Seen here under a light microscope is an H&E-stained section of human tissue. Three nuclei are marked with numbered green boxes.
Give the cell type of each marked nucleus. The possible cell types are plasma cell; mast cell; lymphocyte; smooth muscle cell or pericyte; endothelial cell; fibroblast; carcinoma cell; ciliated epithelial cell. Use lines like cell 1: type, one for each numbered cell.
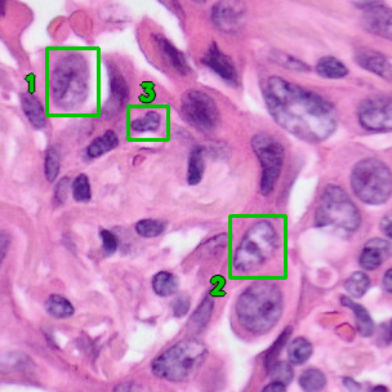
cell 1: carcinoma cell
cell 2: carcinoma cell
cell 3: lymphocyte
